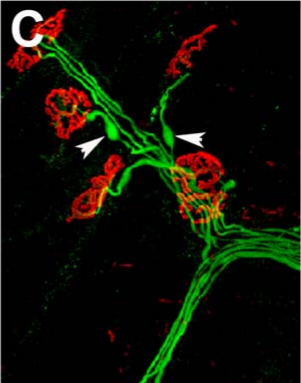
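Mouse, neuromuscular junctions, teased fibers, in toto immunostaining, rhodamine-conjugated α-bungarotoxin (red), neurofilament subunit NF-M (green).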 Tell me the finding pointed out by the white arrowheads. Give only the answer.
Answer: dilated segments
